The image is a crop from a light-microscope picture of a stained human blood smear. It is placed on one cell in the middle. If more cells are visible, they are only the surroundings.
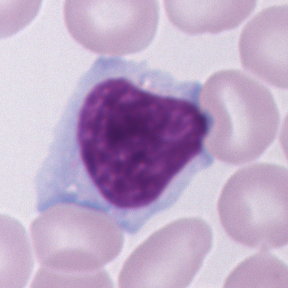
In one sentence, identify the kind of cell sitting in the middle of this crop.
The crop's centre is taken up by a typical lymphocyte.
